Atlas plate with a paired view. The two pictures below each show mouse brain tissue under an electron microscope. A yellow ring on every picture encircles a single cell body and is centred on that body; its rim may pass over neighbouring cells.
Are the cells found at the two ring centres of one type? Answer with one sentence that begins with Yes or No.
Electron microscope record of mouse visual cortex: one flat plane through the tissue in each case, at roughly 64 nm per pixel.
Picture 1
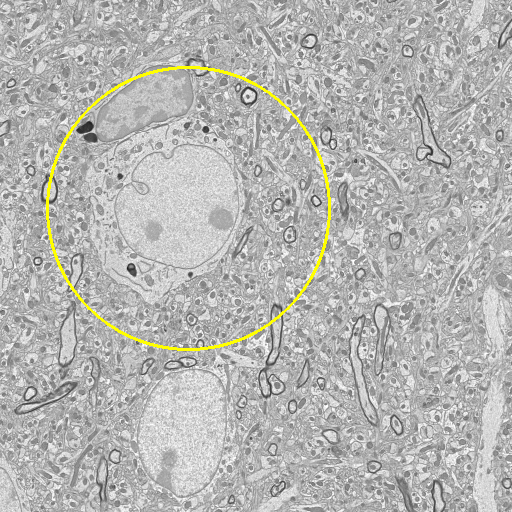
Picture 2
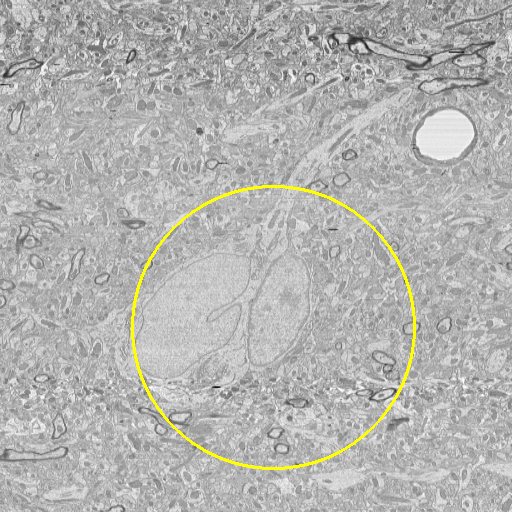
No, the two cells lying at the centres of the rings are of two types.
